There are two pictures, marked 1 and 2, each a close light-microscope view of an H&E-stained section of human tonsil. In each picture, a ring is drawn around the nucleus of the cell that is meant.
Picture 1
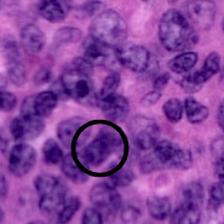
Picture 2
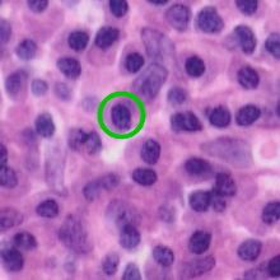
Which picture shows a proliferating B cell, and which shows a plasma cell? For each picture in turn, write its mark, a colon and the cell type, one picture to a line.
1: proliferating B cell
2: plasma cell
